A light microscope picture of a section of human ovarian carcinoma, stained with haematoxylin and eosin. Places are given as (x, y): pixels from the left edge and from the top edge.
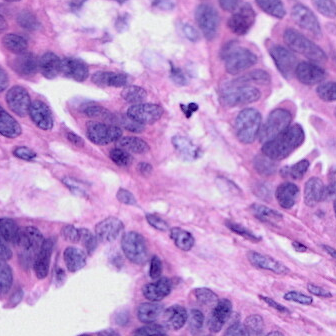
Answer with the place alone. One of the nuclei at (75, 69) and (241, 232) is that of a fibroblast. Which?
(241, 232)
